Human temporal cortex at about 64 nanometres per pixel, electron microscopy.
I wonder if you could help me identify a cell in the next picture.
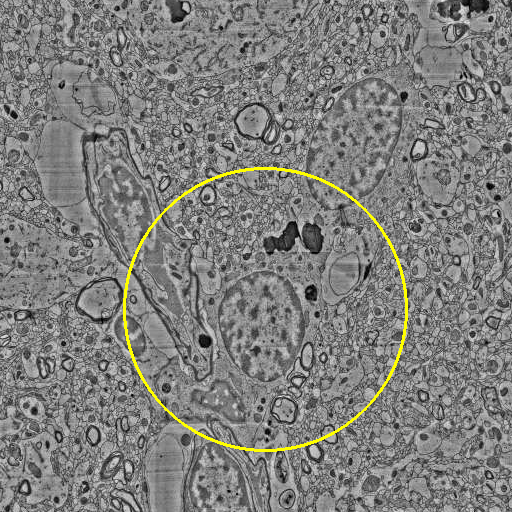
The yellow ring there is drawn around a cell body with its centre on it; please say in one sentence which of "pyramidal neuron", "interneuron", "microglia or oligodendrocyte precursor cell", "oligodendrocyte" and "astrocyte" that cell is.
The yellow ring is centred on an oligodendrocyte.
